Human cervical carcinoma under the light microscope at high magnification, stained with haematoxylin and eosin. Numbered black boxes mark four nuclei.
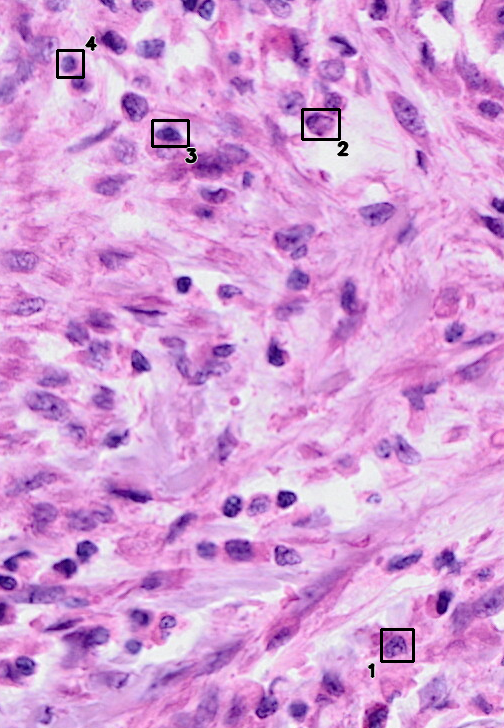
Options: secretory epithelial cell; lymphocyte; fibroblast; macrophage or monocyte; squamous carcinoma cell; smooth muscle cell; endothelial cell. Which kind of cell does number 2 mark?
macrophage or monocyte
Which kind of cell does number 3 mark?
lymphocyte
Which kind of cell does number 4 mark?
lymphocyte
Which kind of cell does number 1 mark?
macrophage or monocyte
